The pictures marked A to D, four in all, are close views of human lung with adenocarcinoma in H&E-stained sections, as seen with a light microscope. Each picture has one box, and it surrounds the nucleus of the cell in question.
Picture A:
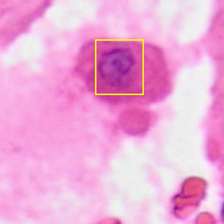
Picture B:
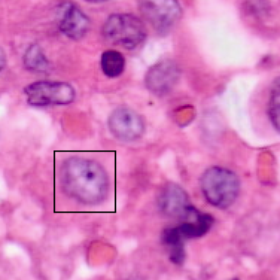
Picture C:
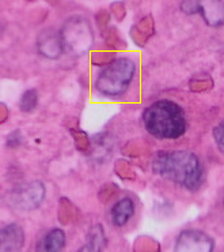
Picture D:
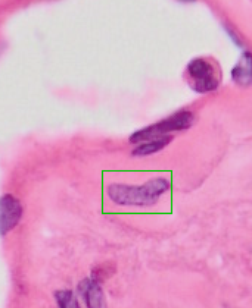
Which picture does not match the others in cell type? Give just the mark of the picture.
D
